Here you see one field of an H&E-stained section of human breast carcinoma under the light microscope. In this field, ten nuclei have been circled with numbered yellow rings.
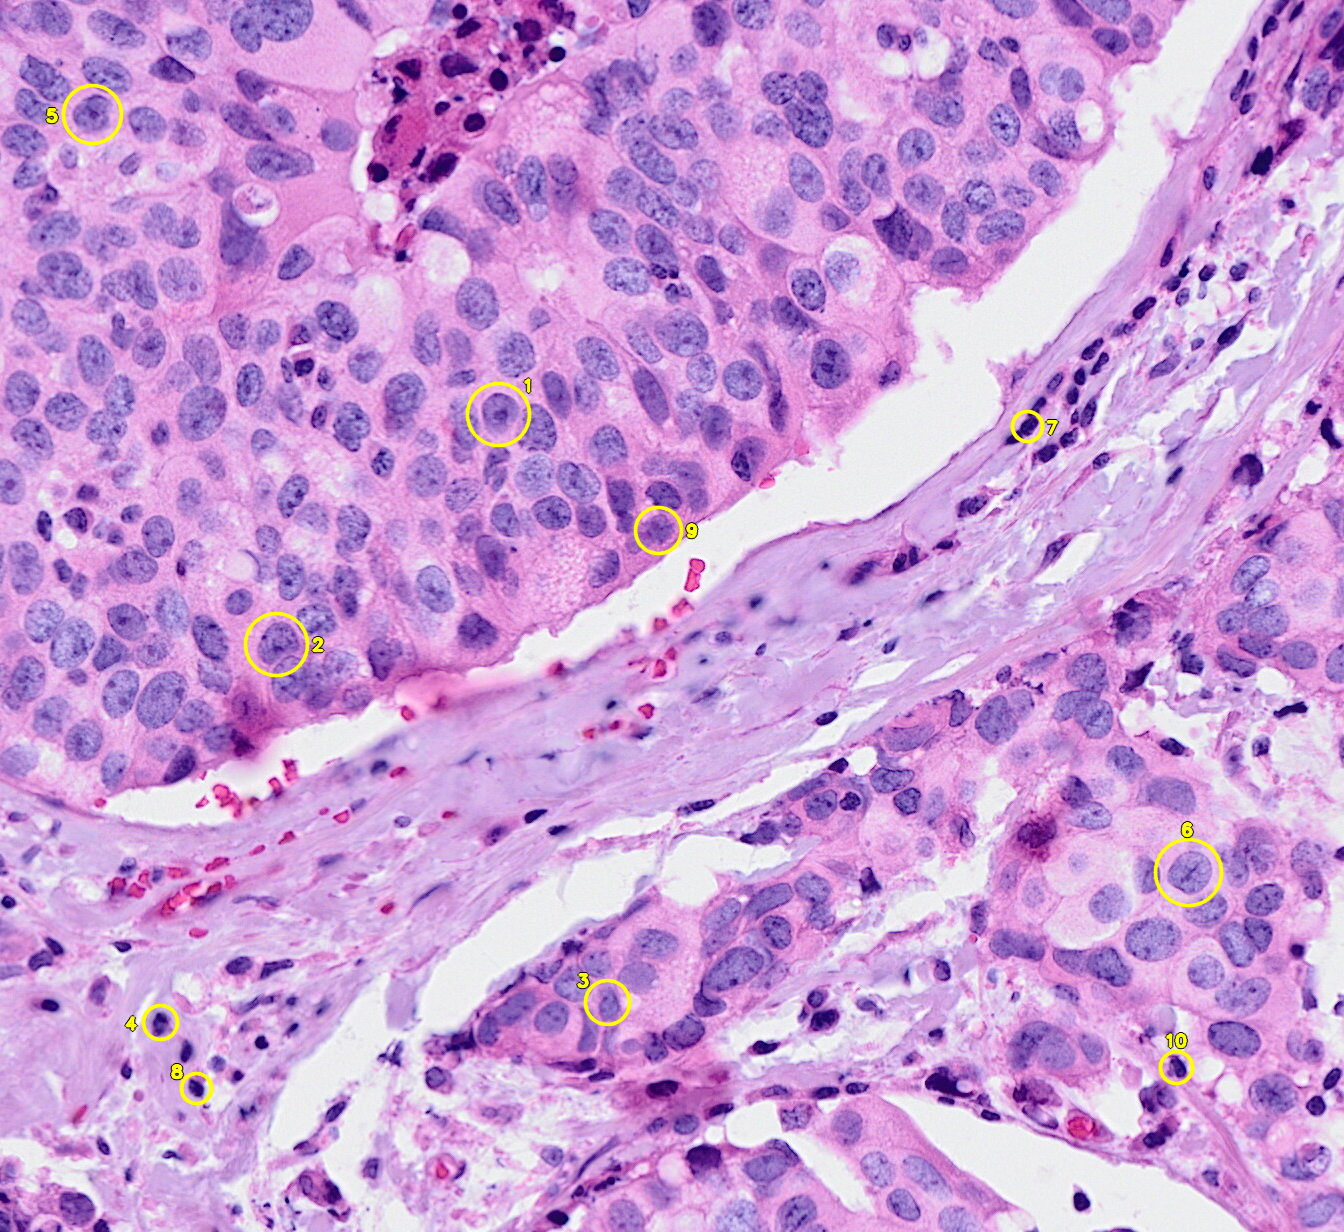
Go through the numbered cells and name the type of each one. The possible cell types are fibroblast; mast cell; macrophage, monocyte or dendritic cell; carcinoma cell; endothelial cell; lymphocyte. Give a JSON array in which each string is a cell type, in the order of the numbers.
["carcinoma cell", "carcinoma cell", "carcinoma cell", "lymphocyte", "carcinoma cell", "carcinoma cell", "lymphocyte", "lymphocyte", "carcinoma cell", "lymphocyte"]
